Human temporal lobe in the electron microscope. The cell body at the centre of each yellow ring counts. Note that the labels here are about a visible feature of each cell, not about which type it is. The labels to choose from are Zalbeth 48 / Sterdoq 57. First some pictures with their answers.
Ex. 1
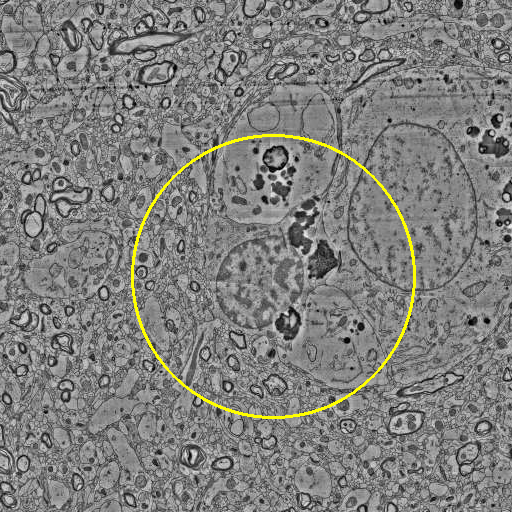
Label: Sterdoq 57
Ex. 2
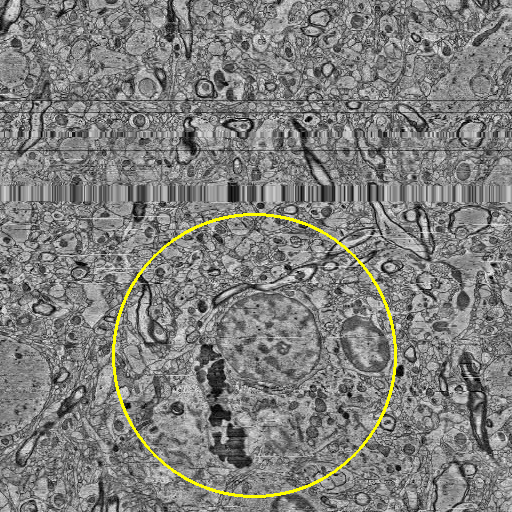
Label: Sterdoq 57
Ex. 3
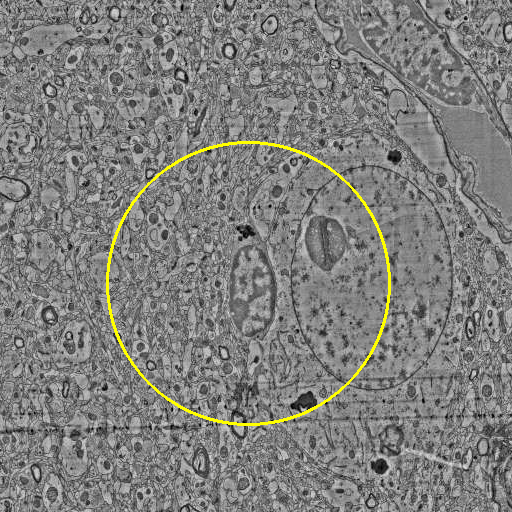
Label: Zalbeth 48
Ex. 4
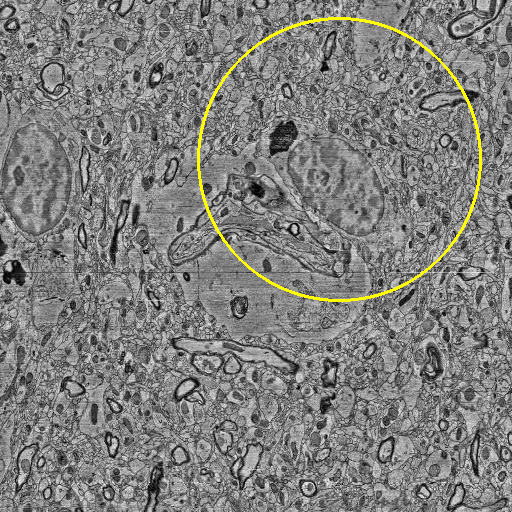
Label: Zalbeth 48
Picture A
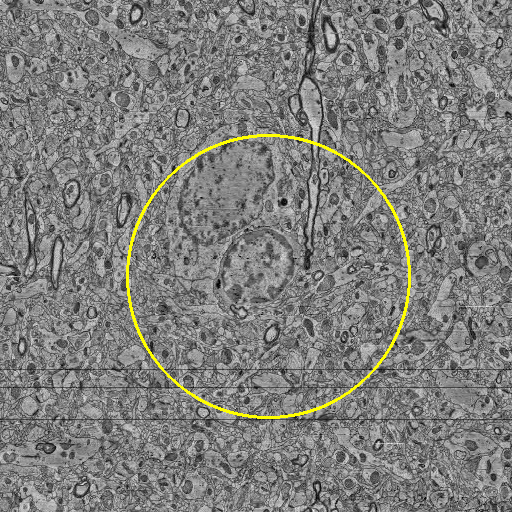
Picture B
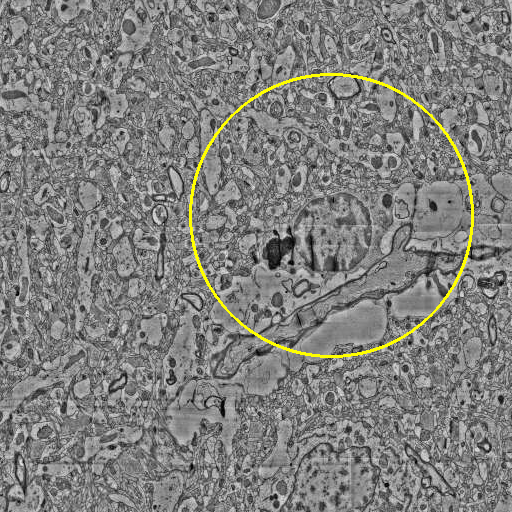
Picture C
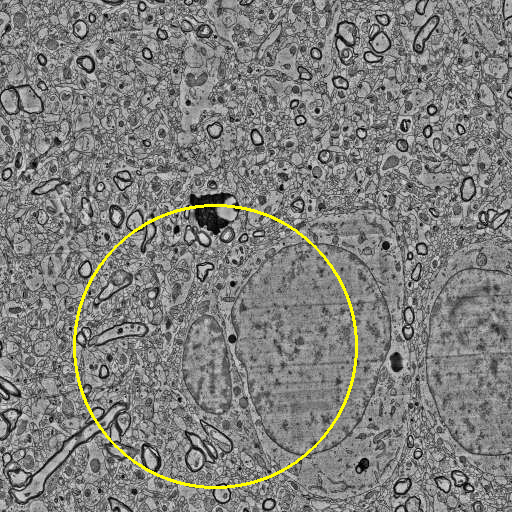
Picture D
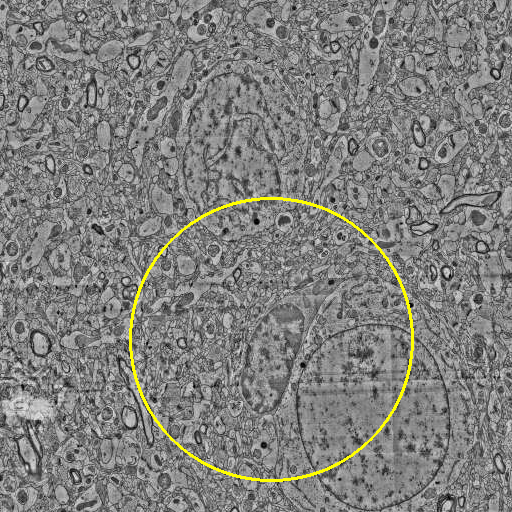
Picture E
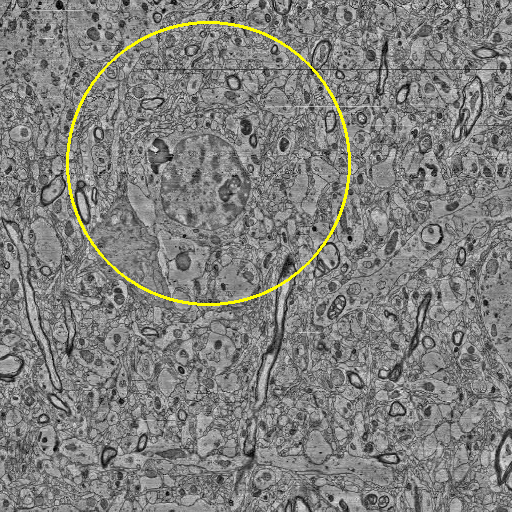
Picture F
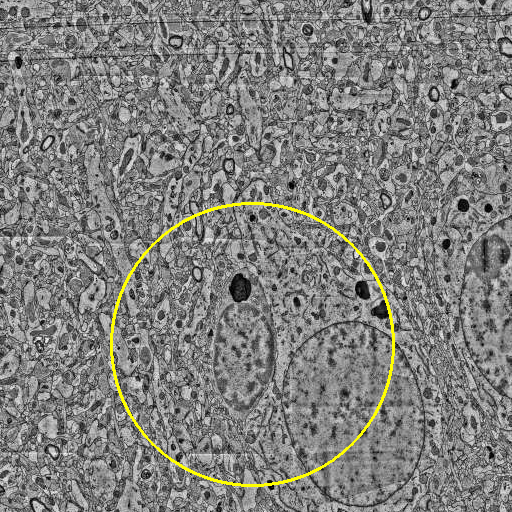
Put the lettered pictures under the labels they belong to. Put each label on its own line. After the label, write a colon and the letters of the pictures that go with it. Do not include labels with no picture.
Zalbeth 48: C, D, F
Sterdoq 57: A, B, E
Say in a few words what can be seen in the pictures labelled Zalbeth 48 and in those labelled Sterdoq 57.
In Zalbeth 48: clearly elongated nuclei. In Sterdoq 57: round or nearly round nuclei.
